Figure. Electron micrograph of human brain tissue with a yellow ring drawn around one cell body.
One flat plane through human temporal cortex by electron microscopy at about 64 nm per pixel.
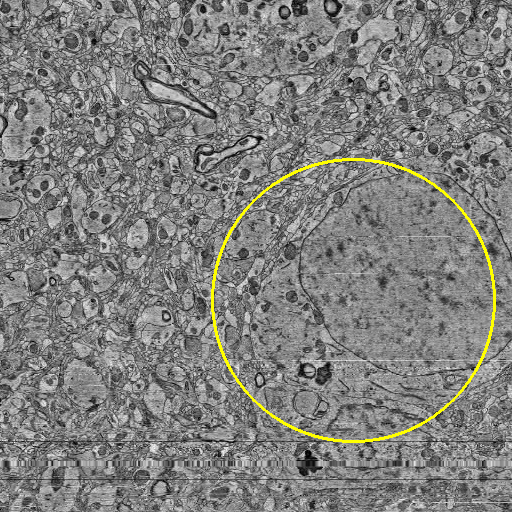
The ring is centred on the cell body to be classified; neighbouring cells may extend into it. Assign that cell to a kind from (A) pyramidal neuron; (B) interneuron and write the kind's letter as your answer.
A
